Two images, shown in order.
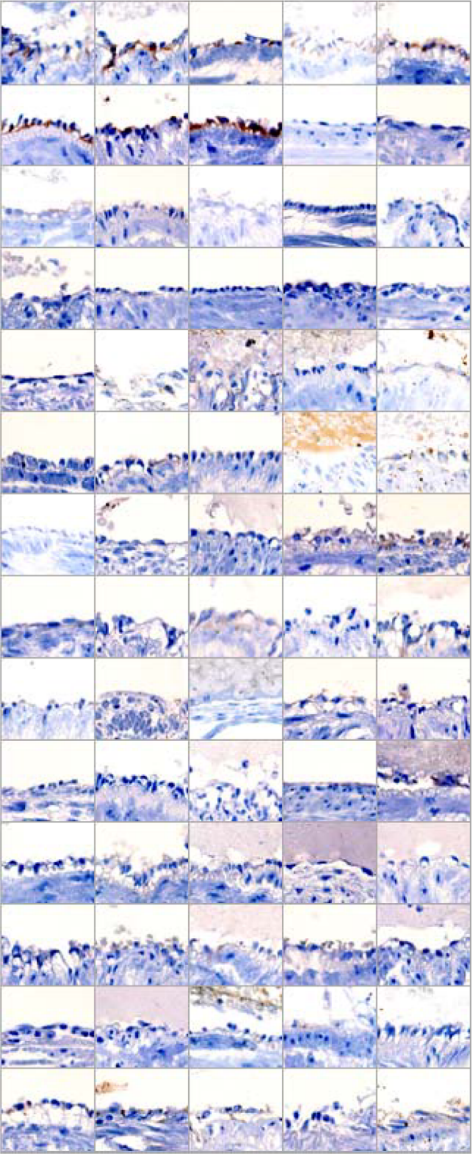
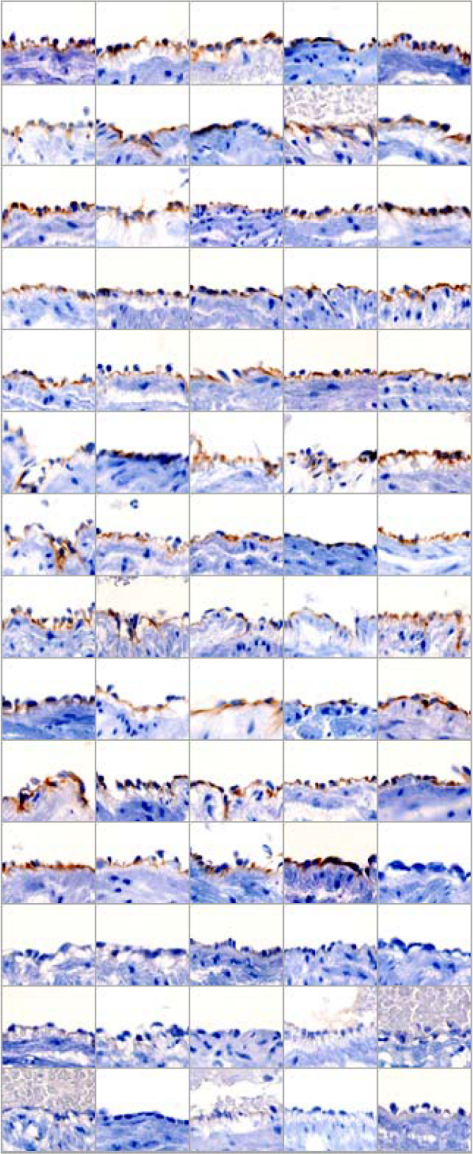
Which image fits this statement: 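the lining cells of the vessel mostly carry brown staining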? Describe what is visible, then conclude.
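First image: most tiles show only blue nuclei along the lining, with brown in a few tiles near the top. Second image: most tiles in the upper rows show a brown band along the luminal lining cells, the lowest rows are blue only. The answer: the second image.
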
